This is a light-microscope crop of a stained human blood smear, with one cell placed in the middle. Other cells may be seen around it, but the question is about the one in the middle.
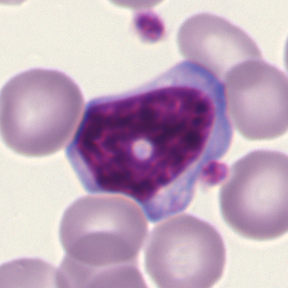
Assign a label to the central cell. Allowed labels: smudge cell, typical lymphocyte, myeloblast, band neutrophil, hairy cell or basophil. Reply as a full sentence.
The cell in the middle of the field of view is a typical lymphocyte.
